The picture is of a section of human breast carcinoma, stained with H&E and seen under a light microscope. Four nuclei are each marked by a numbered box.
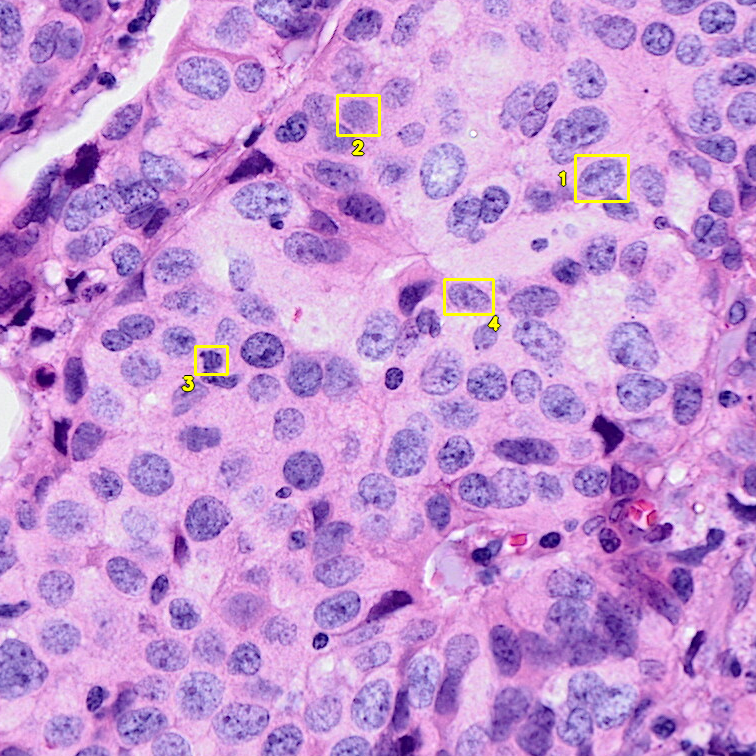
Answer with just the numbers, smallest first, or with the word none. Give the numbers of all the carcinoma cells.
1, 2, 4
